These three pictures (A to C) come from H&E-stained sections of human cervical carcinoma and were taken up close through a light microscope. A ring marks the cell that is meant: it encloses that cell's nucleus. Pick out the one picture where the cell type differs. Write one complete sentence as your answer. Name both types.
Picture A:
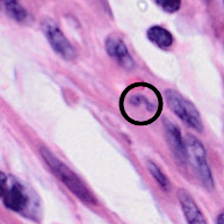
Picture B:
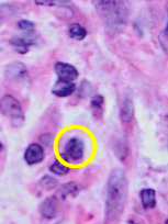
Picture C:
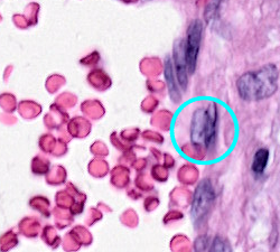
Picture B is the odd one out: it shows a lymphocyte, while the others show endothelial cells.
